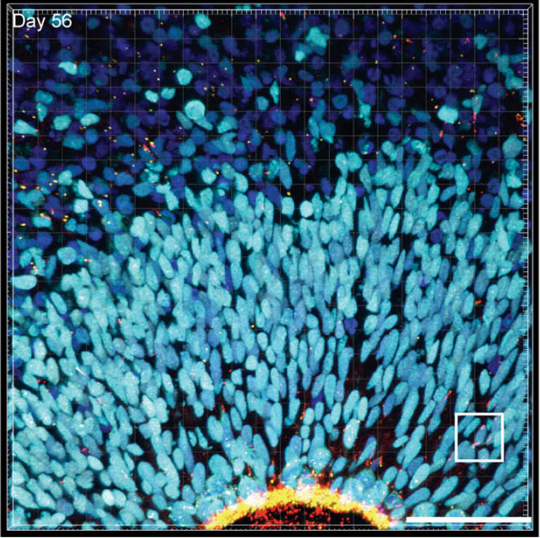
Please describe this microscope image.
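The nuclei are elongated and packed in a dense fan-like array, their long axes pointing away from the lumen. The lumen surface is lined by an intense yellow and red band. Toward the upper part the nuclei are fewer, rounder and more often only blue.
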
